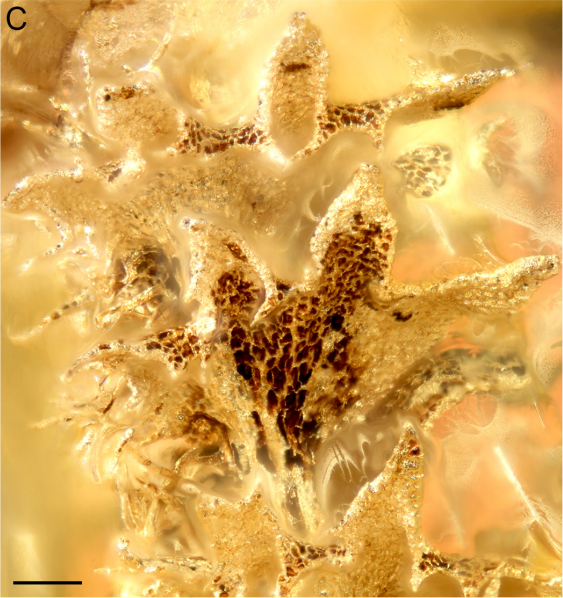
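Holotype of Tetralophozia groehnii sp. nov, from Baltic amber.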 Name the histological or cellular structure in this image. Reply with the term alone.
Deeply quadrified leaves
